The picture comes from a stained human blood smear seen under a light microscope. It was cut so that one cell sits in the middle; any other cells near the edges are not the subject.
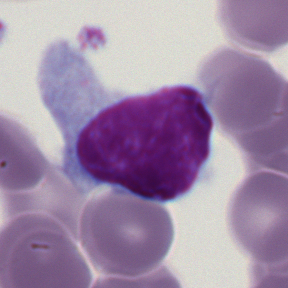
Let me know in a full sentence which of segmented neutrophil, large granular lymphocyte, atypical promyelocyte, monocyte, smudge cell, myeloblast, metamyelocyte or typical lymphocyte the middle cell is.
The identification for the central cell is a typical lymphocyte.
